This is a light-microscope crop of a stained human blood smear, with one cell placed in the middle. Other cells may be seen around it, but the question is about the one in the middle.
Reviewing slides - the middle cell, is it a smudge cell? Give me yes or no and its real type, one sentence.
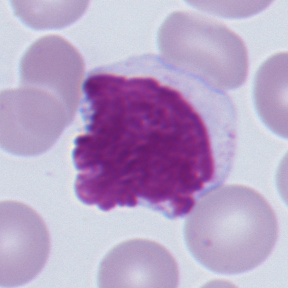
Yes, the cell at the midpoint of the crop is a smudge cell.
